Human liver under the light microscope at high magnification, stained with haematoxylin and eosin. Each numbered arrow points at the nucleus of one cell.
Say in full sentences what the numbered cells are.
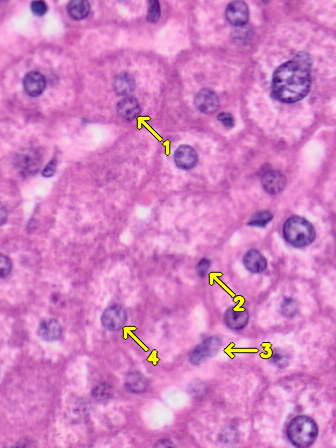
Cells 1 and 4 are hepatocytes. Cell 2 is a fibroblast or stellate cell. Cell 3 is a Kupffer cell.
